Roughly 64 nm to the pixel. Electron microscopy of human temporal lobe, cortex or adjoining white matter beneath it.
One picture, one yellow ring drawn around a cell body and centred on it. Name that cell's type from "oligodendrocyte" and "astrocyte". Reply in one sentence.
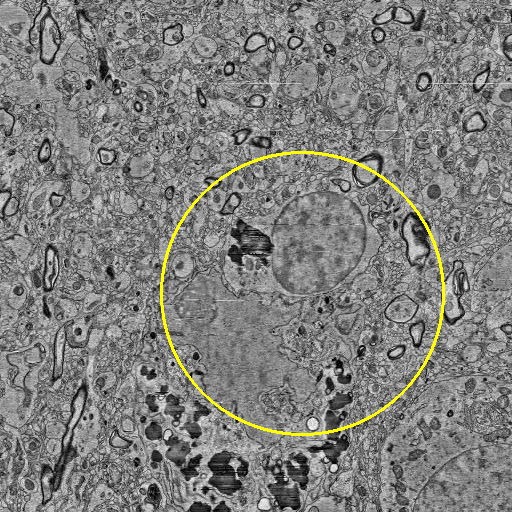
Centred in the ring is an oligodendrocyte.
